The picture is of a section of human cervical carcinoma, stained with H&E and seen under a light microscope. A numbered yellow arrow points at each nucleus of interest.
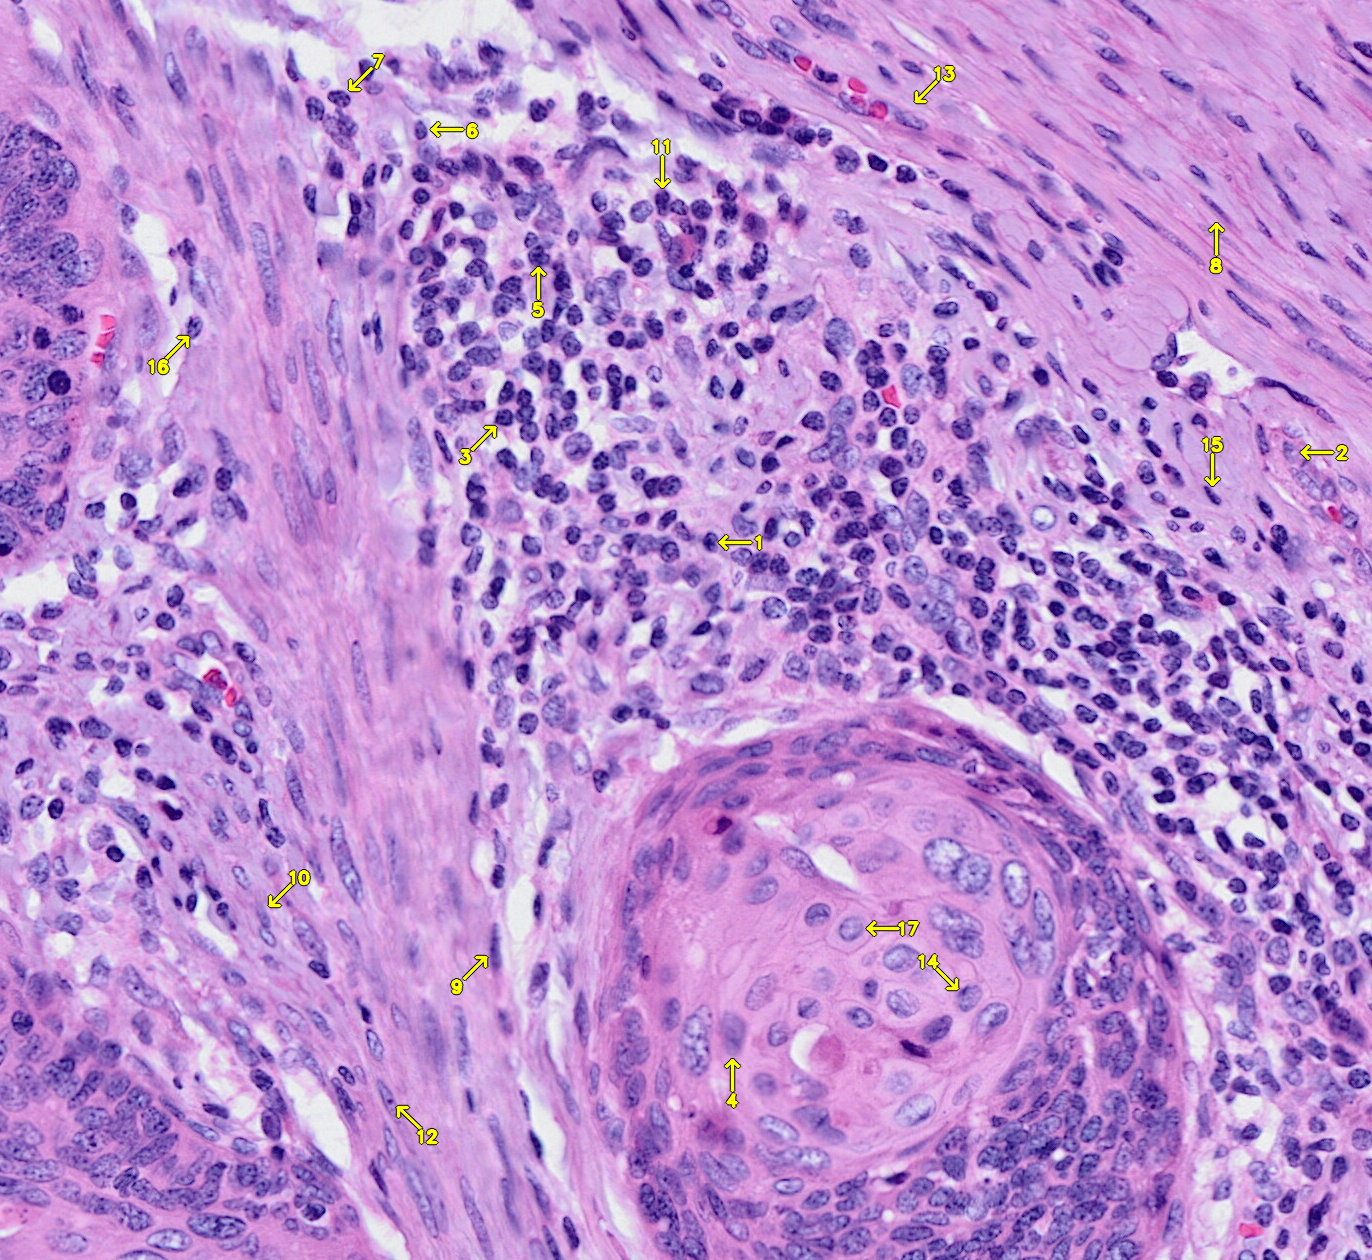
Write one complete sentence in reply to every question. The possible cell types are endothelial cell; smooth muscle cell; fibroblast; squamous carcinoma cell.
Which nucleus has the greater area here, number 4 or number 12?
Of the two, number 4 is bigger and takes up about 2.5 times the area of number 12.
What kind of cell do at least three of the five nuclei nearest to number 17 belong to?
Most of the five nuclei nearest to number 17 are those of squamous carcinoma cells.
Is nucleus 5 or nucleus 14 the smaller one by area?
Nucleus 5 is the smaller one; nucleus 14 covers about 1.5 times its area.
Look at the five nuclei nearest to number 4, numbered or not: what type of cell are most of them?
Most of the five nuclei nearest to number 4 are those of squamous carcinoma cells.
